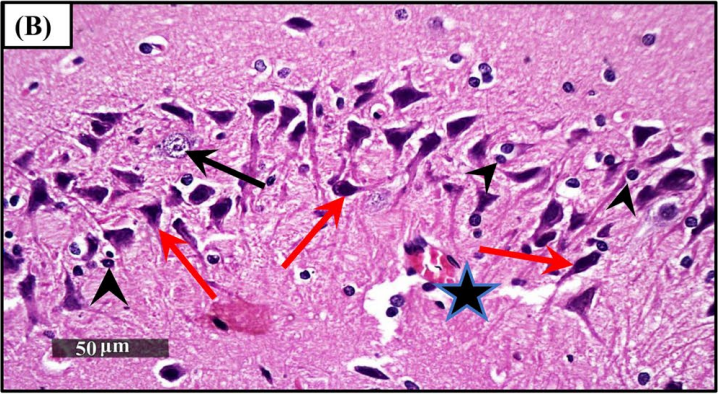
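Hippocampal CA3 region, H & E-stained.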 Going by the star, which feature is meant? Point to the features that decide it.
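Beside the star lies a vessel lumen packed with red-pink blood cells. The vessel is surrounded by a clear space.
Hence: congested blood vessels.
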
